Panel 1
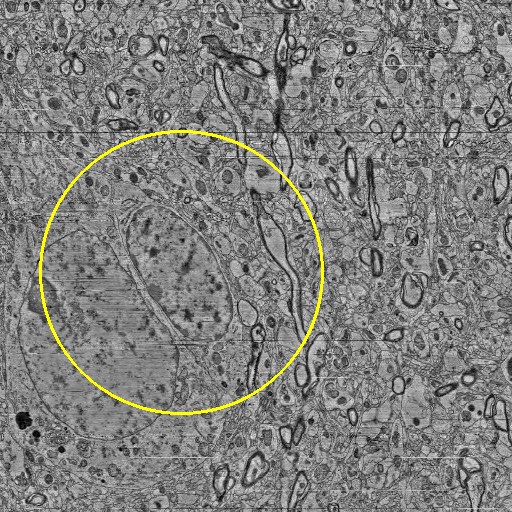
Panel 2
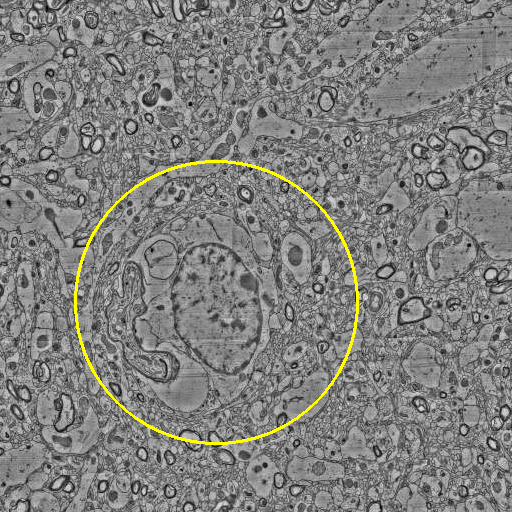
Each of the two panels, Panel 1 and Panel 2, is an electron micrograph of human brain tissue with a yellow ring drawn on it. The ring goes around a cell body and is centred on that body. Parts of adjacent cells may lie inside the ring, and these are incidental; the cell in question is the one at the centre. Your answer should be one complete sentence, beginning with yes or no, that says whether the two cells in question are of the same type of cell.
Yes, the two cells are of the same type.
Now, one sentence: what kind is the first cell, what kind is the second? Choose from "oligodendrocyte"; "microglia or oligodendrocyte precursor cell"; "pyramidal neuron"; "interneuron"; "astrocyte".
Each of the ringed cells, first and second, is a microglial cell or oligodendrocyte precursor cell.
